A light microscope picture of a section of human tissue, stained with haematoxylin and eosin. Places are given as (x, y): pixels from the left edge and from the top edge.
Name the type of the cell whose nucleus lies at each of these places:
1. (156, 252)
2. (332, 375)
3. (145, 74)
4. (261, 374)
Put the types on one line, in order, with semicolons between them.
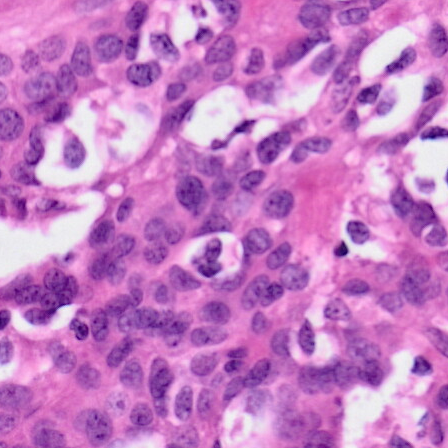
carcinoma cell; carcinoma cell; macrophage or monocyte; carcinoma cell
